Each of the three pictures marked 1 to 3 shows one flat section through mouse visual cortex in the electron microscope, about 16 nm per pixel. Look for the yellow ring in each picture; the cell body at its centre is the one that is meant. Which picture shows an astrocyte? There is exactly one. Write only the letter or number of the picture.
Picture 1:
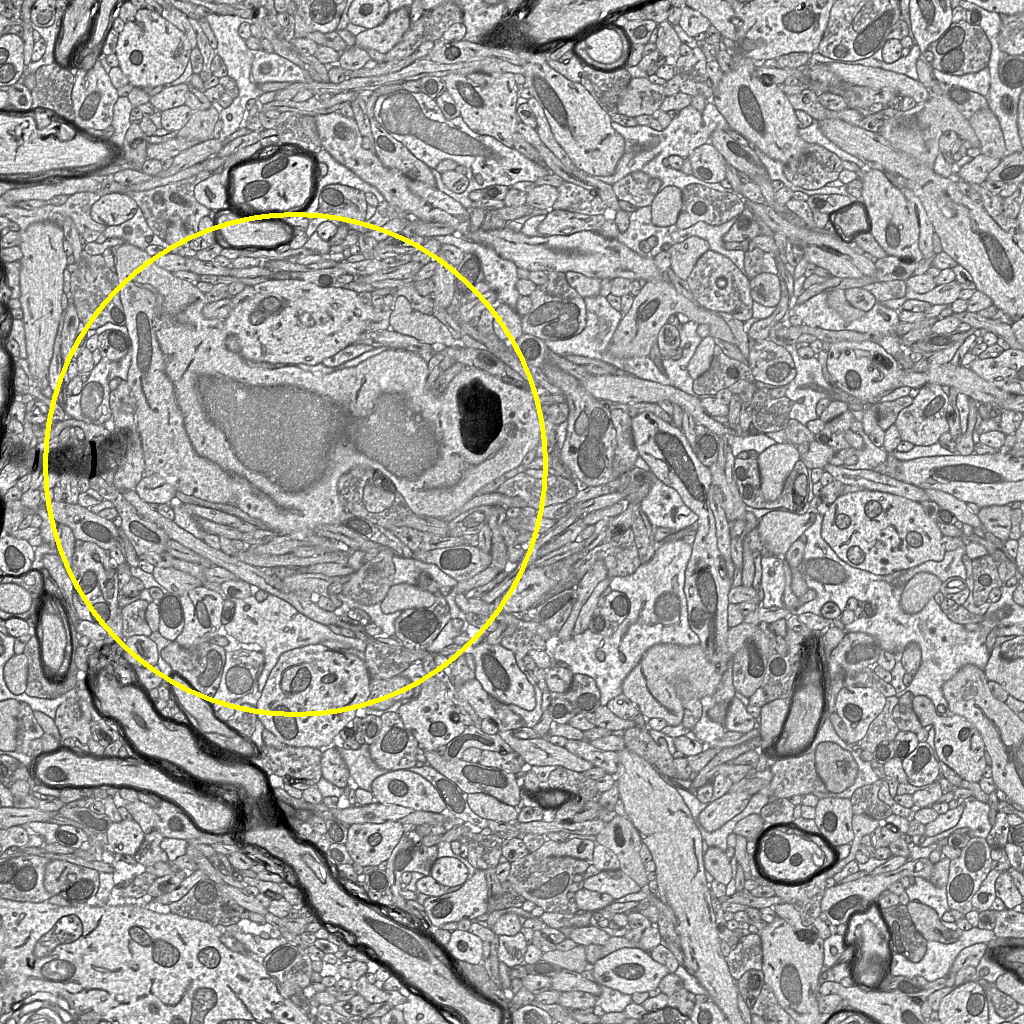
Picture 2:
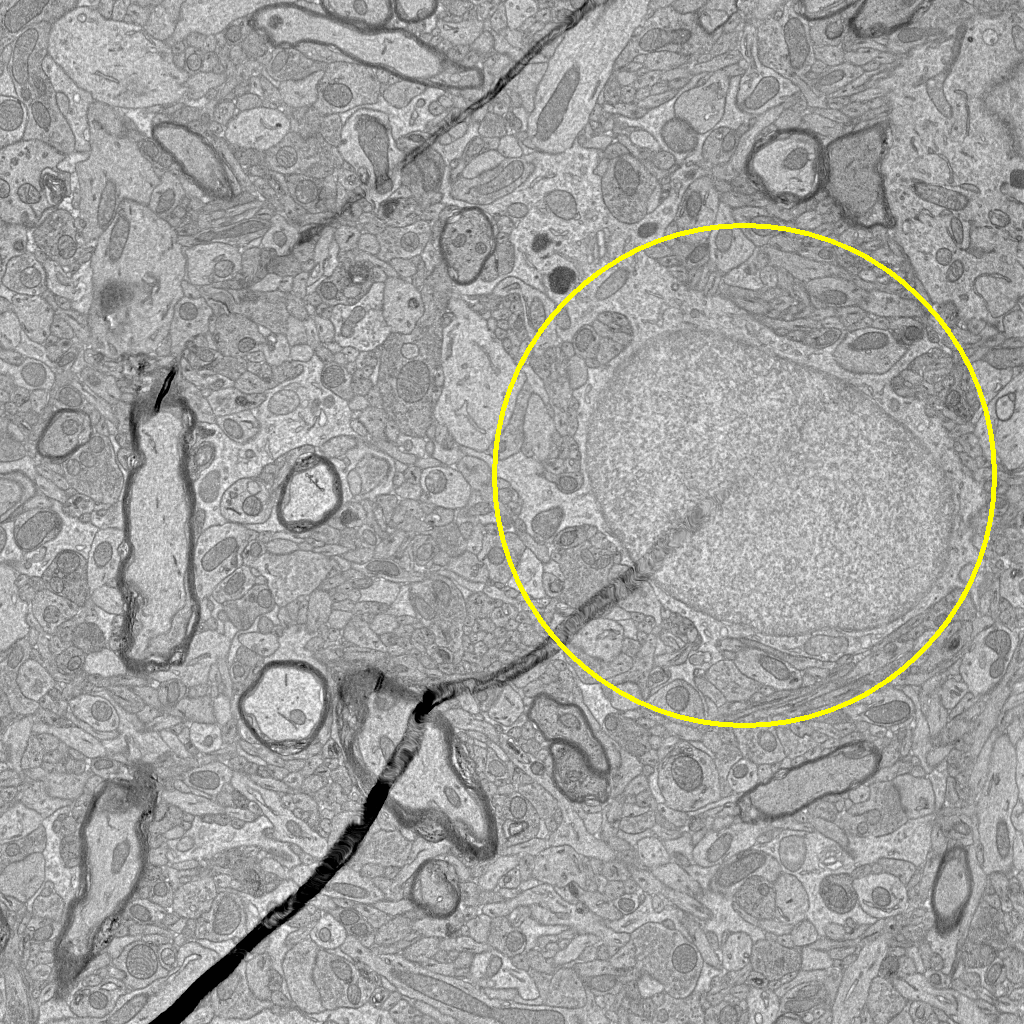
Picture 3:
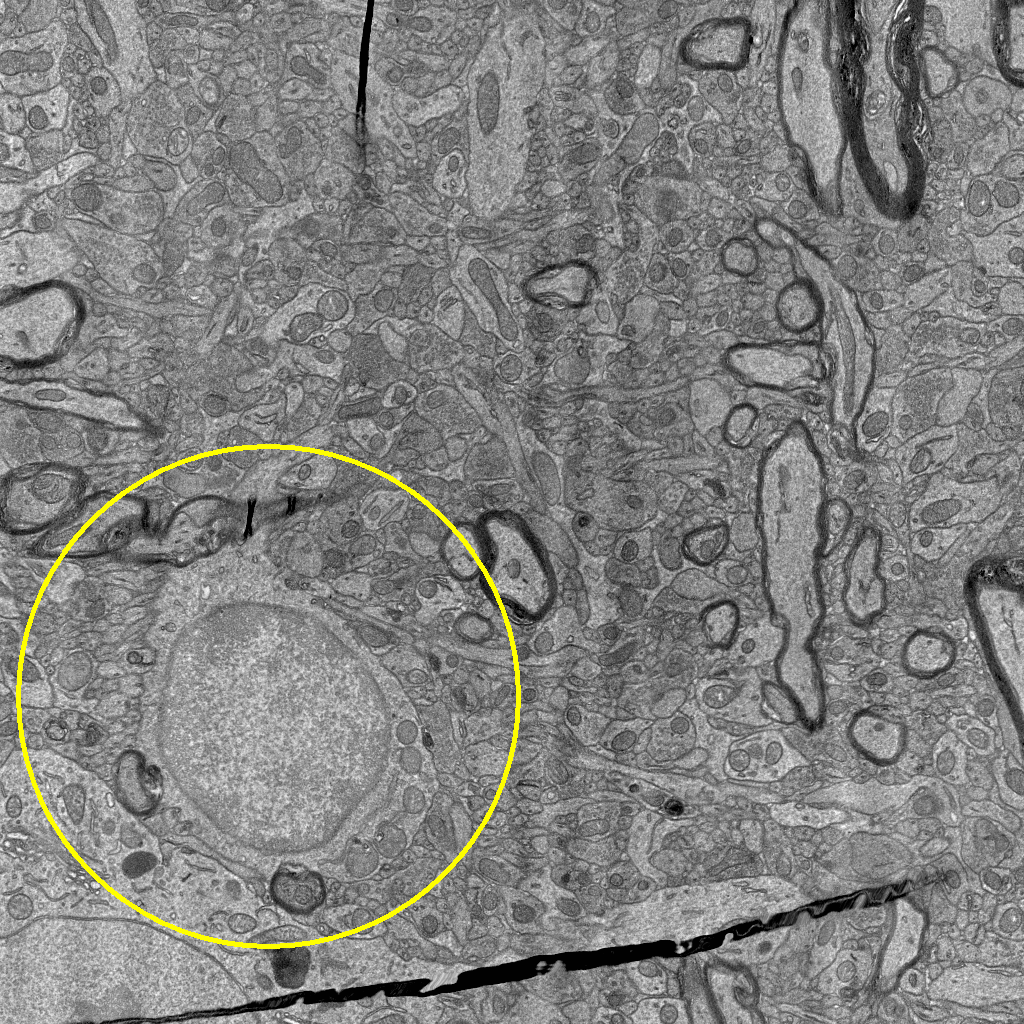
2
